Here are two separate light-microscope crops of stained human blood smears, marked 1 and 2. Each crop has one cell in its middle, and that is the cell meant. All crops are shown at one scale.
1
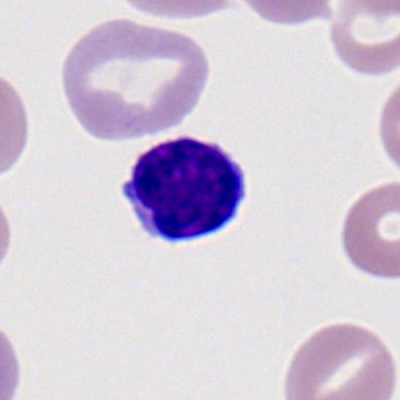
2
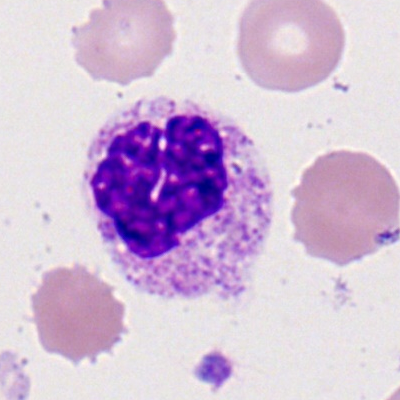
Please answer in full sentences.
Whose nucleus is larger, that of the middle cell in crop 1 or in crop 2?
It is the nucleus in crop 2, about 1.5 times as large in area as the one in crop 1.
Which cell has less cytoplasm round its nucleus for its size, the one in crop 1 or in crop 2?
It is the cell in crop 1 that is filled more by its nucleus.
